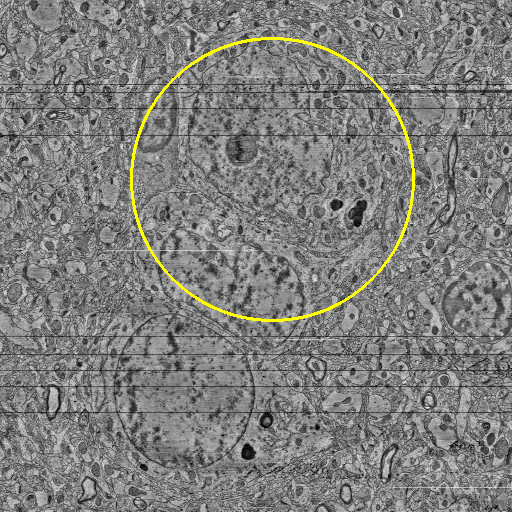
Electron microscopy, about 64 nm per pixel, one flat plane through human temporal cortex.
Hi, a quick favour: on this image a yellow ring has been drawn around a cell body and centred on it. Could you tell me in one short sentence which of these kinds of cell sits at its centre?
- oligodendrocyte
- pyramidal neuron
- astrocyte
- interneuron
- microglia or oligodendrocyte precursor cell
The ring is centred on an interneuron.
